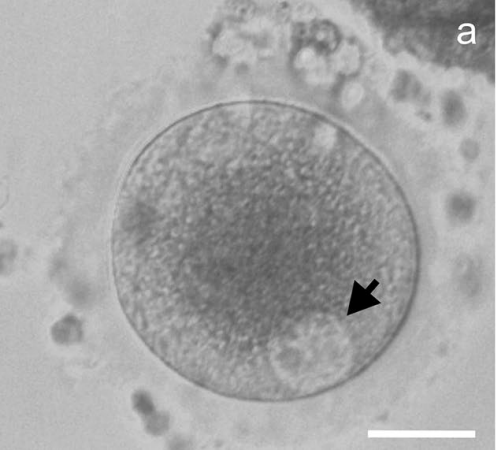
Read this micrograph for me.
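A single large round oocyte is seen without stain. Its cytoplasm is granular and darker toward the centre, paler toward the rim. Near the lower right periphery lies a large round pale nucleus, clearer than the surrounding cytoplasm, with visible internal structure. A thin smooth boundary encloses the cell. Around it, especially above and to the sides, lie irregular remnants of surrounding material and scattered small rounded bodies, with a dark mass at the upper right corner.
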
